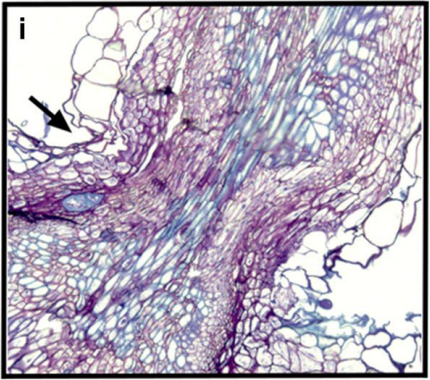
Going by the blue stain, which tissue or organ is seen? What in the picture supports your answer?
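A band of long, narrow blue-walled cells runs diagonally through the panel. The blue cells are elongated along the band, unlike the rounder pink-walled cells beside them.
Hence: vascular tissues.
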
